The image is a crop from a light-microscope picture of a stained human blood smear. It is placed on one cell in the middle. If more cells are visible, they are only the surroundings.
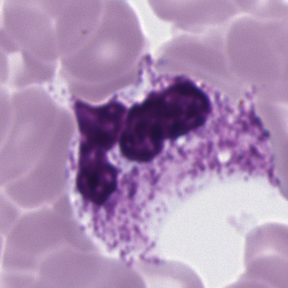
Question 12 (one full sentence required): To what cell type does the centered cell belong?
For this crop, the central cell is a segmented neutrophil.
